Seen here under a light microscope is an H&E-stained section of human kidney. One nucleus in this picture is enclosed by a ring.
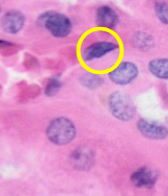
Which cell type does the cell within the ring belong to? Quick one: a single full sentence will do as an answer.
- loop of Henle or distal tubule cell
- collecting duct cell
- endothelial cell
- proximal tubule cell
Among the cells in this section, the cell within the ring is an endothelial cell.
